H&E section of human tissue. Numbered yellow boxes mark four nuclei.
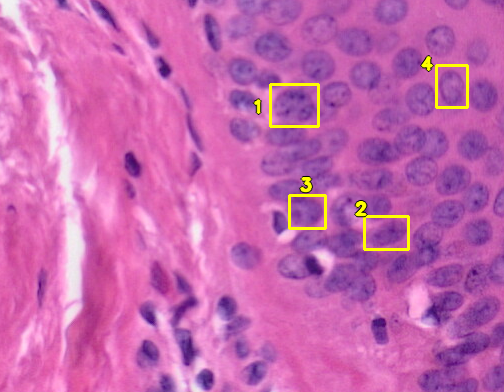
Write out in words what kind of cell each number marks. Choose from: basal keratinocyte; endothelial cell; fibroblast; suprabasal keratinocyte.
Cells 1, 2 and 3 are basal keratinocytes. Cell 4 is a suprabasal keratinocyte.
